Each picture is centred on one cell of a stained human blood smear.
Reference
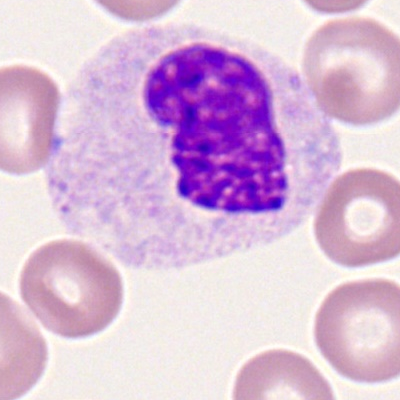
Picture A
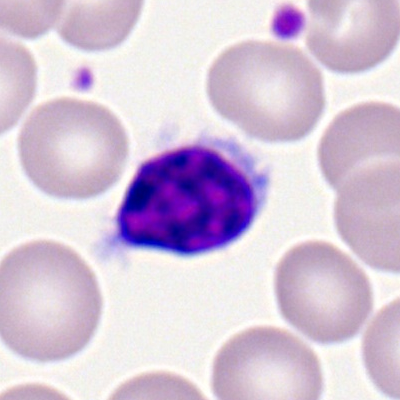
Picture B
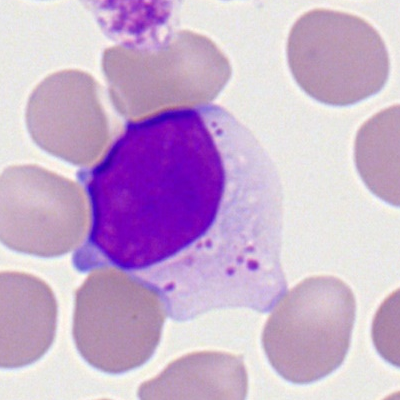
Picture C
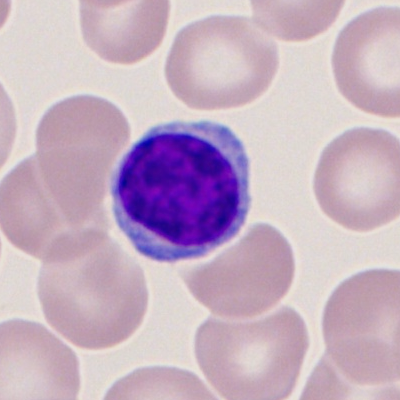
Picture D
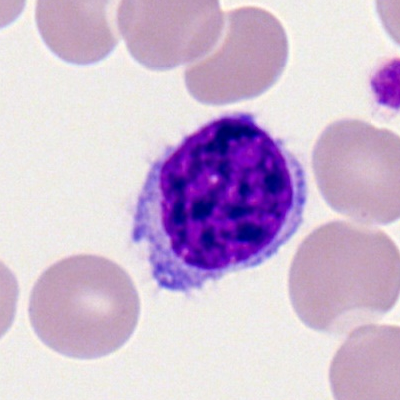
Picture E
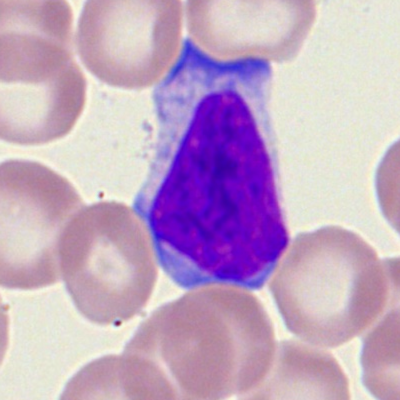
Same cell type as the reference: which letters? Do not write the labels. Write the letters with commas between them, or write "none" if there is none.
none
